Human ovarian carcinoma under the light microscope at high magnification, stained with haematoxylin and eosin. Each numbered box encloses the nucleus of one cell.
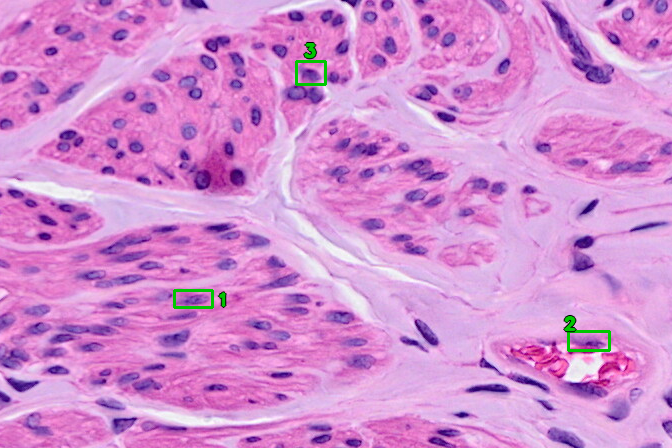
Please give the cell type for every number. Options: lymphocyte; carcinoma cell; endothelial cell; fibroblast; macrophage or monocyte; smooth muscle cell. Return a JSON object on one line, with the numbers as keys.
{"1": "smooth muscle cell", "2": "endothelial cell", "3": "smooth muscle cell"}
